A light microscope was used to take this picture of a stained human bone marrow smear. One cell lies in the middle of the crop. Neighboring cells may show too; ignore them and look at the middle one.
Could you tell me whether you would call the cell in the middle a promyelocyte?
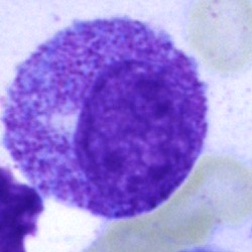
no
